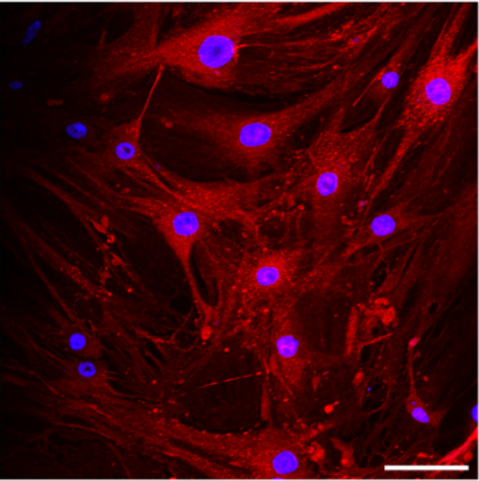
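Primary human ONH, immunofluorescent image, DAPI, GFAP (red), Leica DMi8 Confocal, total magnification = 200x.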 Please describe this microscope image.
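Cultured astrocytes are shown with red fluorescence filling their cytoplasm and blue nuclei. The cells are large and flat, with broad cell bodies and long fibrous extensions that overlap into a dense network. The red signal has a filamentous, streaked texture running along the length of the extensions and is finer and granular around the nuclei. Each cell has a single oval or round blue nucleus, mostly centrally placed in the cell body. A few small, round, brightly red bodies lie scattered between the cells.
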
